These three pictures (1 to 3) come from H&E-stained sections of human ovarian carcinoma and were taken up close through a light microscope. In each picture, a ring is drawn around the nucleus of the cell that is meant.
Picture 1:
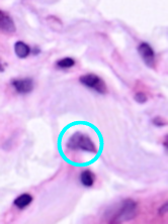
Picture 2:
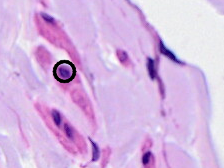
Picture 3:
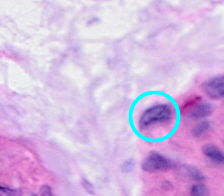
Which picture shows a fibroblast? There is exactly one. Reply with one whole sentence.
Picture 1 shows the fibroblast.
